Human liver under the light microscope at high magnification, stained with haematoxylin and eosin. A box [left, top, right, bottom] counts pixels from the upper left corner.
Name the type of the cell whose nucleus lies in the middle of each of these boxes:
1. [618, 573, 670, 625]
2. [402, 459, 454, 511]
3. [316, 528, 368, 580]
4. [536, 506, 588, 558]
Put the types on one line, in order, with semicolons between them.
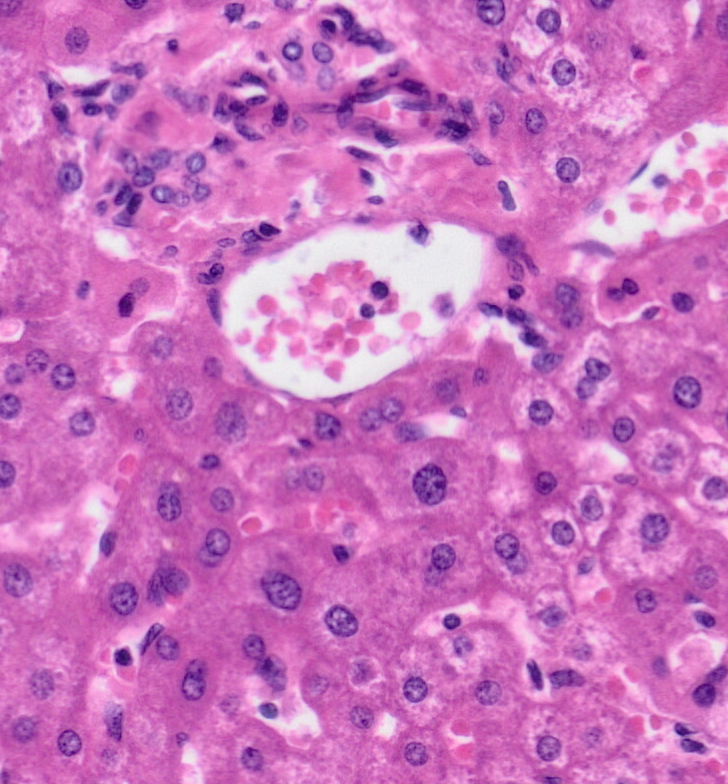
hepatocyte; hepatocyte; fibroblast or stellate cell; hepatocyte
